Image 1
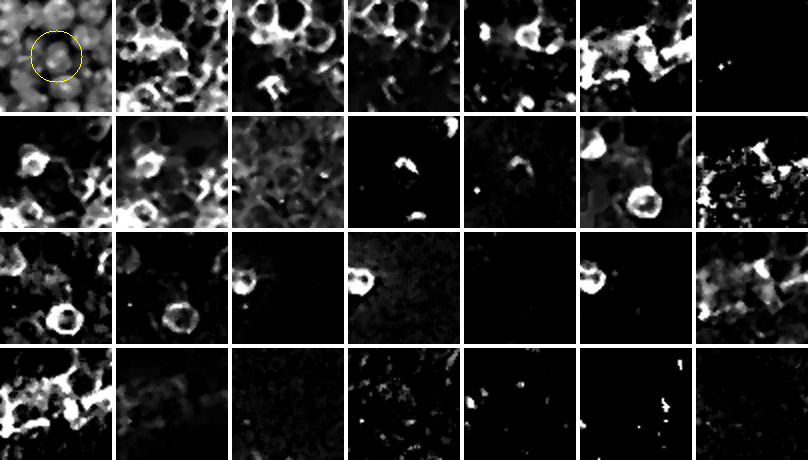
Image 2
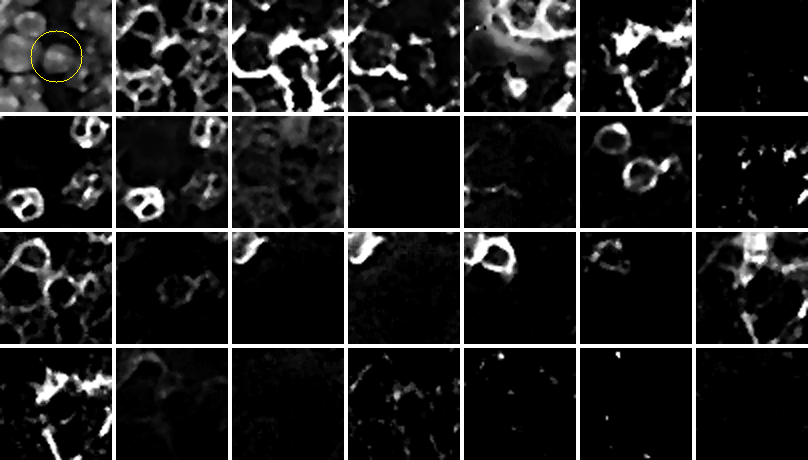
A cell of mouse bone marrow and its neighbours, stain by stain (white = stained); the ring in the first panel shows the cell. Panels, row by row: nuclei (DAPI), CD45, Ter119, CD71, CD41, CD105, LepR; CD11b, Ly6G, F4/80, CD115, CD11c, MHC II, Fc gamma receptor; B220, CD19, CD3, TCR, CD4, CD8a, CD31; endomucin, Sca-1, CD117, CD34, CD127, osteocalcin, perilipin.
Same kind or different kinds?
Same: capillary endothelial cells.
